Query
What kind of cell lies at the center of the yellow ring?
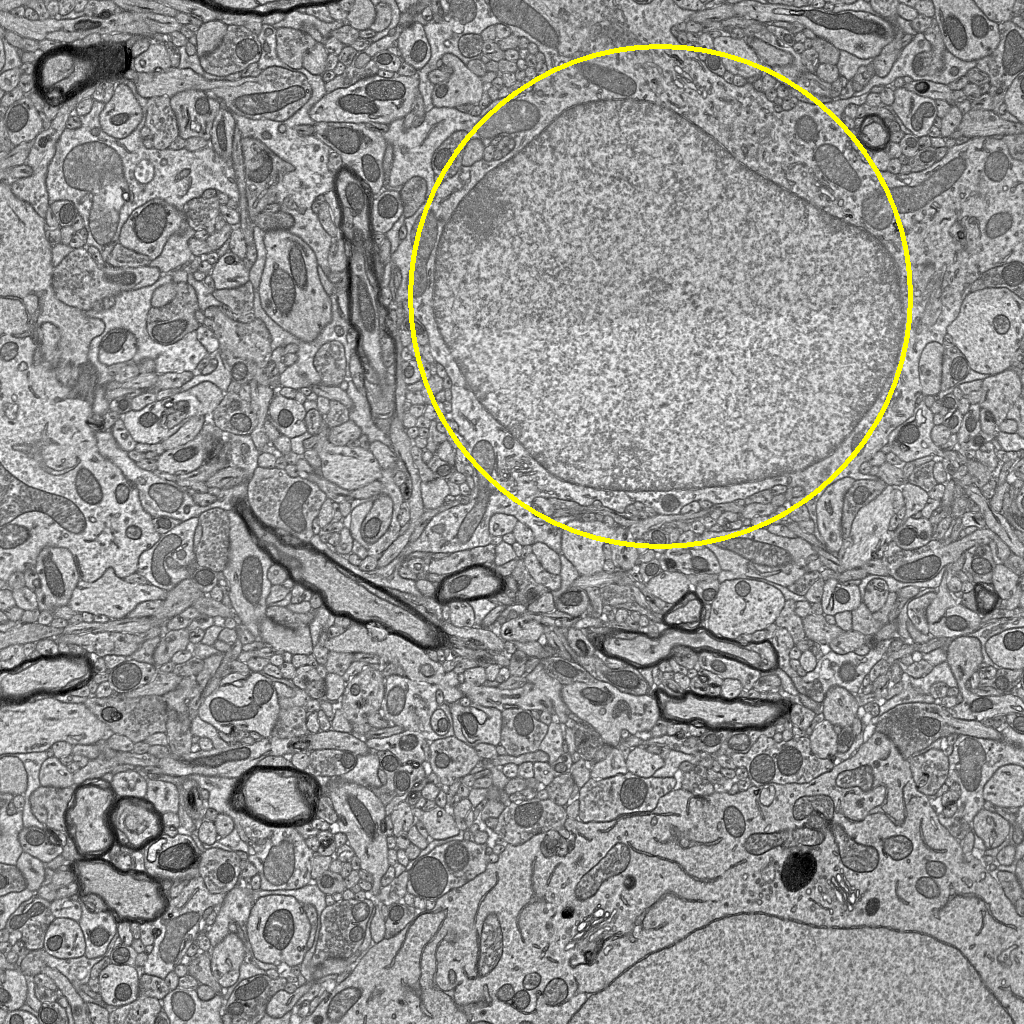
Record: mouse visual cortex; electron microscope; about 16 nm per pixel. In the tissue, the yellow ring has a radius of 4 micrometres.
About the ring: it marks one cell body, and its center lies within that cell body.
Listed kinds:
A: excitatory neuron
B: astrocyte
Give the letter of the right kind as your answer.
B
